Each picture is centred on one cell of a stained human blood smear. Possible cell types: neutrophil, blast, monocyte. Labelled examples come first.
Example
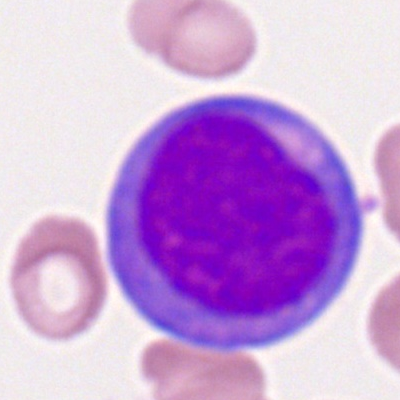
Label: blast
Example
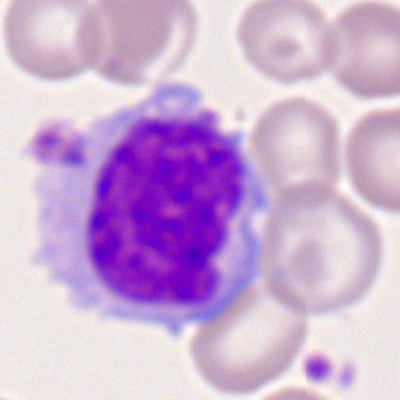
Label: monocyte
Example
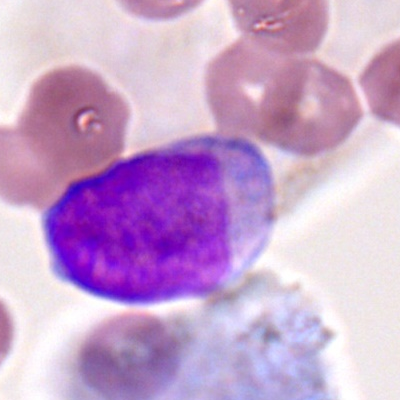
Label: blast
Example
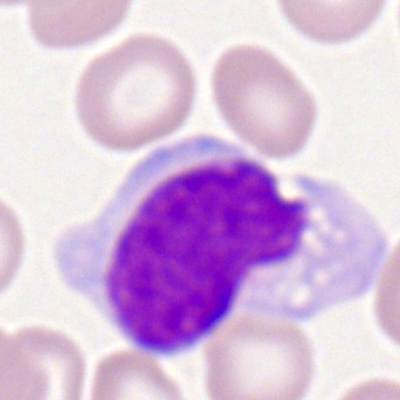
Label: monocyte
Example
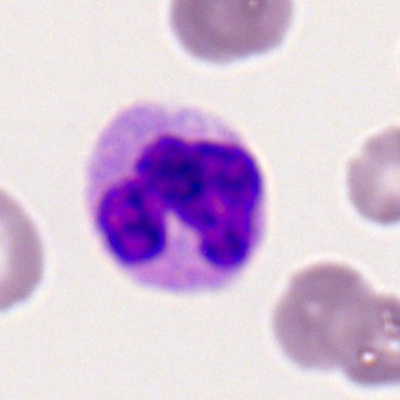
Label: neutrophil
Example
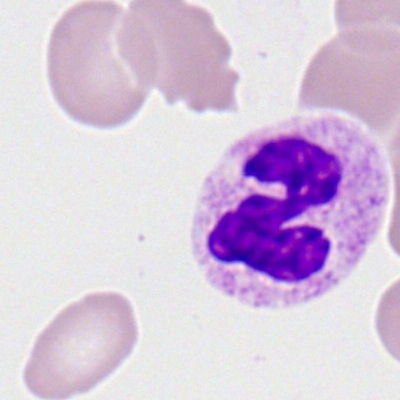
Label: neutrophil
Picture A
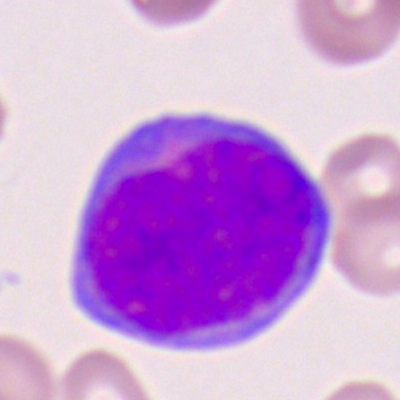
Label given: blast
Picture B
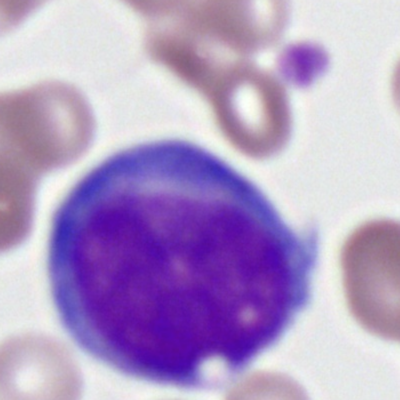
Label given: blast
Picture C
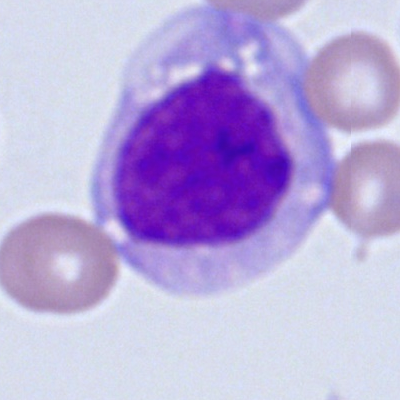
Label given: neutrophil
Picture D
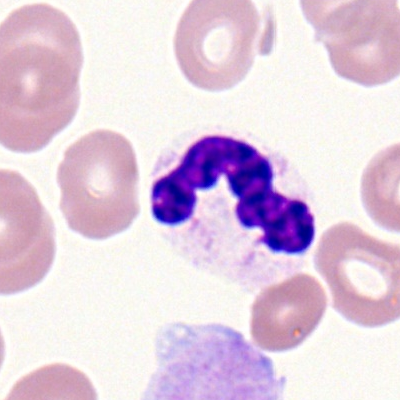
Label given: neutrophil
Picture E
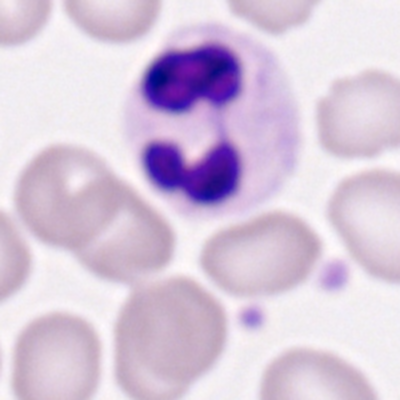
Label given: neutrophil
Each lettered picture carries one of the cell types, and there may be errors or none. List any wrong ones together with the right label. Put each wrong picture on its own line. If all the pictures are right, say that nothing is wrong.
C is labelled neutrophil; correct label: monocyte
